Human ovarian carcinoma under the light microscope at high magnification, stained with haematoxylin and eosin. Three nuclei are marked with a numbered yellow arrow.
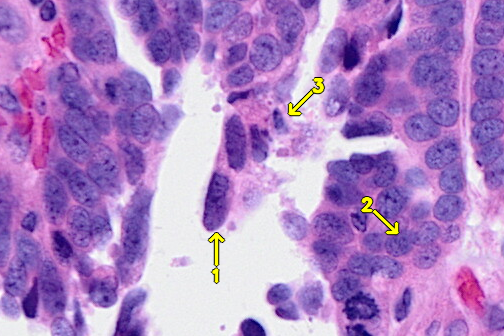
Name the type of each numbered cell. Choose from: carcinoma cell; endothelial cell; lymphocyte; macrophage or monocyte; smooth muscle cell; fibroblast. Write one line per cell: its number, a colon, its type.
1: carcinoma cell
2: carcinoma cell
3: macrophage or monocyte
